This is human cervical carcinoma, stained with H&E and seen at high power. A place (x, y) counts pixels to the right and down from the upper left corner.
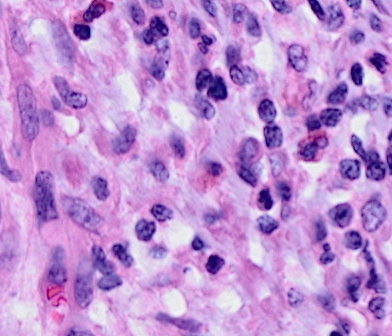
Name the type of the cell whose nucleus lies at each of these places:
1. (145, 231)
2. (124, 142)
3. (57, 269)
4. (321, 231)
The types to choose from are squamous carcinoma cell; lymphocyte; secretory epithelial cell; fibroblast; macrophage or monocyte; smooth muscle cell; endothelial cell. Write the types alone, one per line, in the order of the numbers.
lymphocyte
macrophage or monocyte
endothelial cell
lymphocyte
